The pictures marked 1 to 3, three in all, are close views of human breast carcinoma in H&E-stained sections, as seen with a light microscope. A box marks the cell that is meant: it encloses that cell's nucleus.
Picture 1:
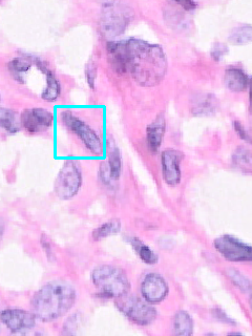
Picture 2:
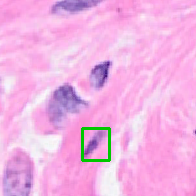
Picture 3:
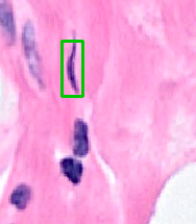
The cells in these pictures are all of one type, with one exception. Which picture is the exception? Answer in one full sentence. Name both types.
Picture 1 differs, because its cell is an endothelial cell and the rest are fibroblasts.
